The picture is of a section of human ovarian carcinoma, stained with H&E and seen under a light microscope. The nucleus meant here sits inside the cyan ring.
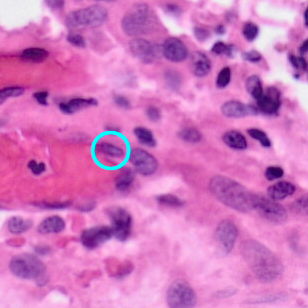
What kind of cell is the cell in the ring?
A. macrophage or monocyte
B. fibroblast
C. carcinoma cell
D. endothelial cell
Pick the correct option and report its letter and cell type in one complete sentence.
According to option D, the cell in the ring is an endothelial cell, and this is correct.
